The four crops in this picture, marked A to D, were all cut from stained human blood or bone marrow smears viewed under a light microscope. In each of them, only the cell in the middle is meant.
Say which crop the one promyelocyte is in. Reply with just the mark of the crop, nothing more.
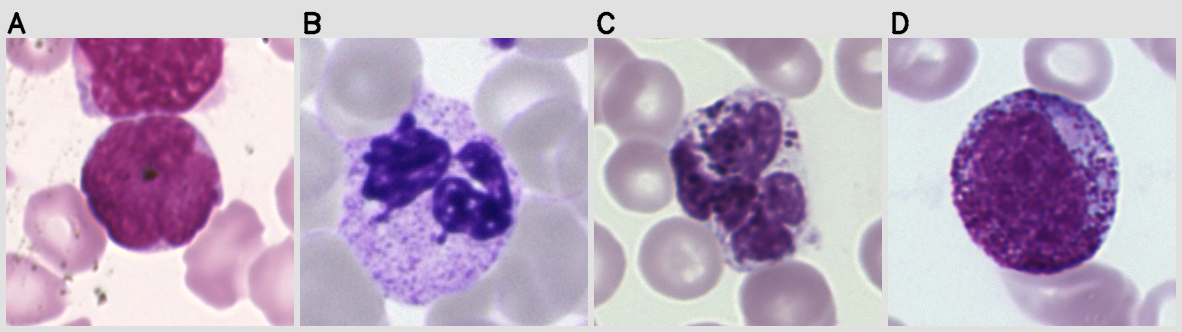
D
